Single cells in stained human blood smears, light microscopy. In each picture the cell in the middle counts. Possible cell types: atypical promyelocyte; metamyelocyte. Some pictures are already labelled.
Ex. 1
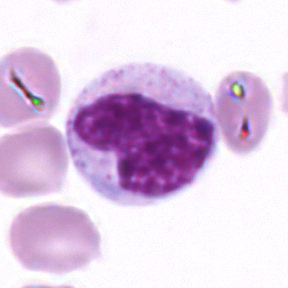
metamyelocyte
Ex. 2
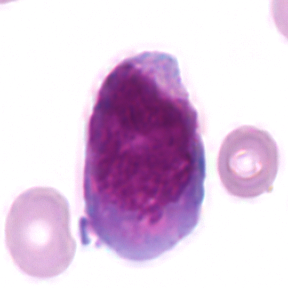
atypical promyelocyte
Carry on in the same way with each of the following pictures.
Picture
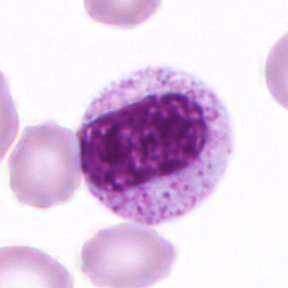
metamyelocyte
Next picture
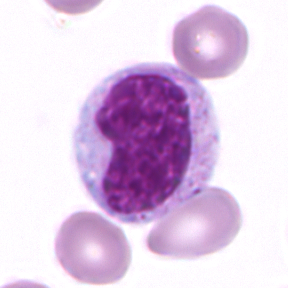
metamyelocyte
